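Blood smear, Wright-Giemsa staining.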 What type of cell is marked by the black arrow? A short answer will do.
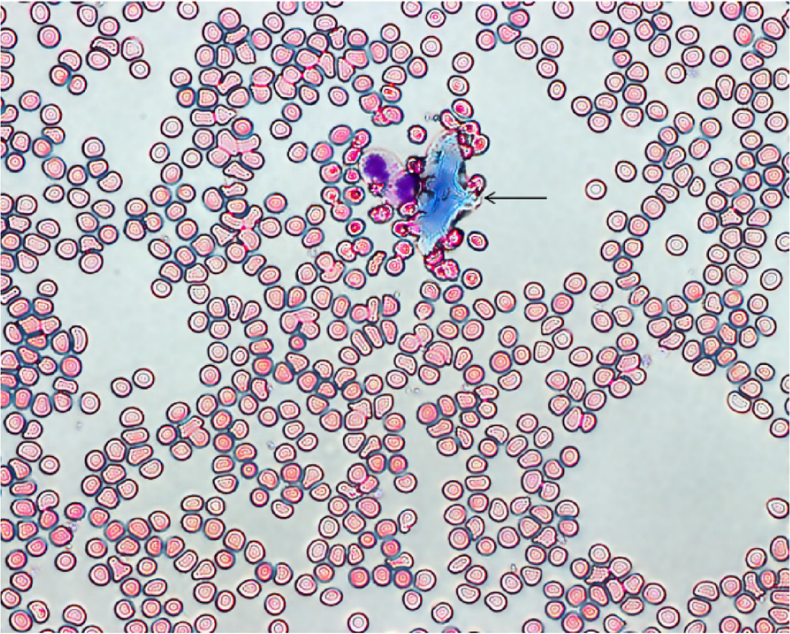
Epithelial cells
